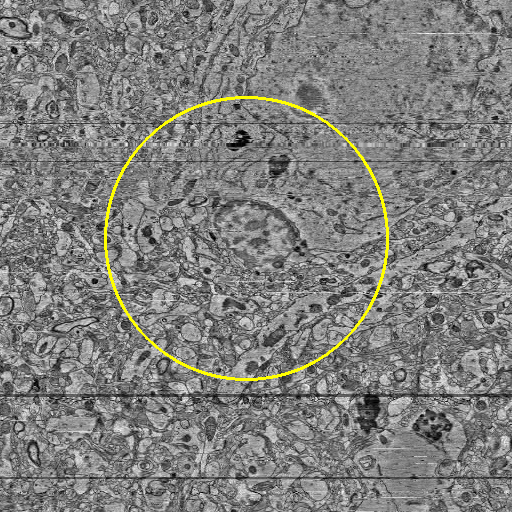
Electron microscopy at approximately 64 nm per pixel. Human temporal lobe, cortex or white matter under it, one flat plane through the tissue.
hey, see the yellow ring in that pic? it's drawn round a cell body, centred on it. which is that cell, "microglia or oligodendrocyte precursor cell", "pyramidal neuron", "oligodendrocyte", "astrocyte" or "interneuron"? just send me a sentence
The cell in the ring is an oligodendrocyte.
